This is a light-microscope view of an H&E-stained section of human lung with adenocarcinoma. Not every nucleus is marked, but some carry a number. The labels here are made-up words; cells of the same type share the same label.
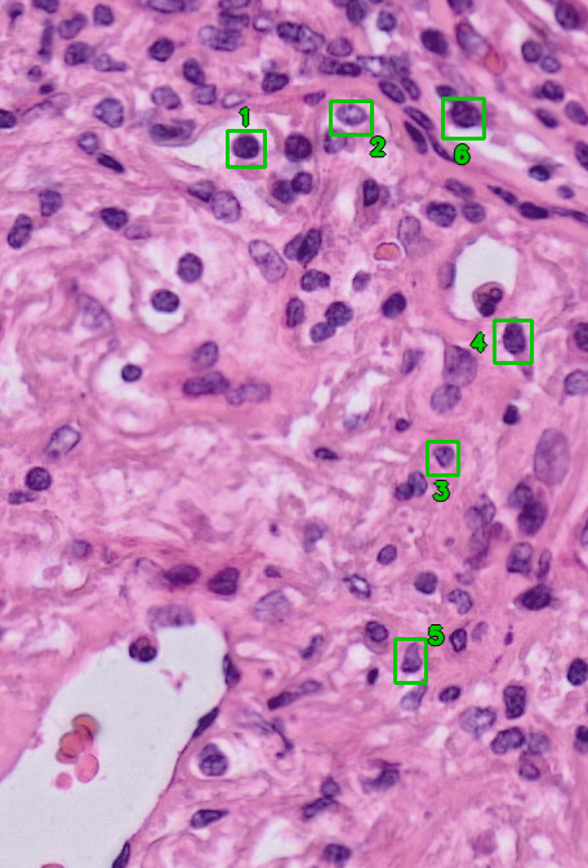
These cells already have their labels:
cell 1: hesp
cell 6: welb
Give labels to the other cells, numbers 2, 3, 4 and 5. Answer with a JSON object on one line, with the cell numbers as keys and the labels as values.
{"2": "hesp", "3": "hesp", "4": "welb", "5": "hesp"}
